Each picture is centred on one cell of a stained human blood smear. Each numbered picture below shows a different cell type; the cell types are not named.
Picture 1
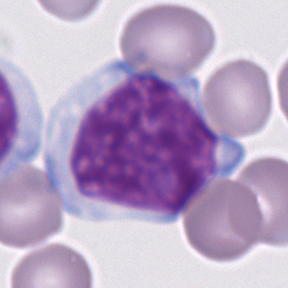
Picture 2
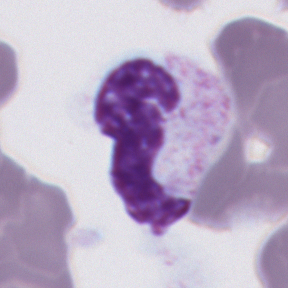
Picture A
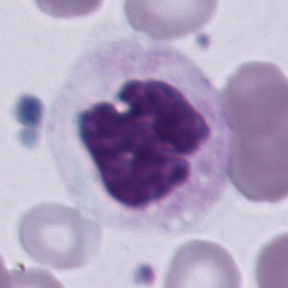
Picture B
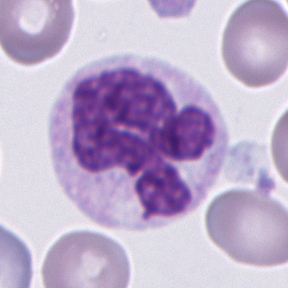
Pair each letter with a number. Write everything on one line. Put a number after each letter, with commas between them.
A 2, B 2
